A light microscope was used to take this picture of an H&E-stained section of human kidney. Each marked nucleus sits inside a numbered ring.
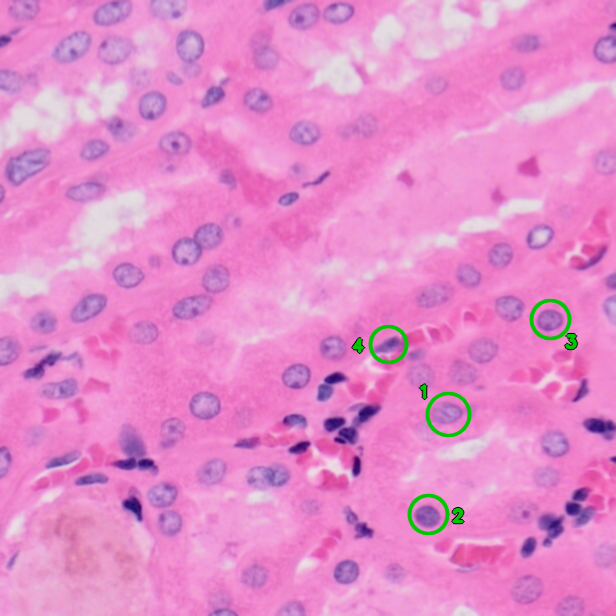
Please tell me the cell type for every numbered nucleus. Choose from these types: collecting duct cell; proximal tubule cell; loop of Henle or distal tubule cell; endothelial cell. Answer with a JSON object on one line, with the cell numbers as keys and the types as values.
{"1": "proximal tubule cell", "2": "proximal tubule cell", "3": "proximal tubule cell", "4": "endothelial cell"}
